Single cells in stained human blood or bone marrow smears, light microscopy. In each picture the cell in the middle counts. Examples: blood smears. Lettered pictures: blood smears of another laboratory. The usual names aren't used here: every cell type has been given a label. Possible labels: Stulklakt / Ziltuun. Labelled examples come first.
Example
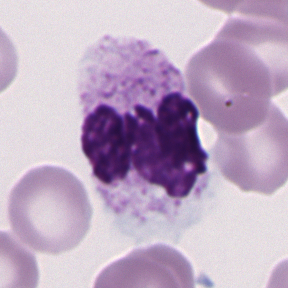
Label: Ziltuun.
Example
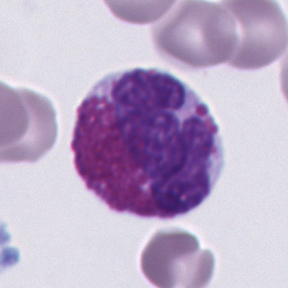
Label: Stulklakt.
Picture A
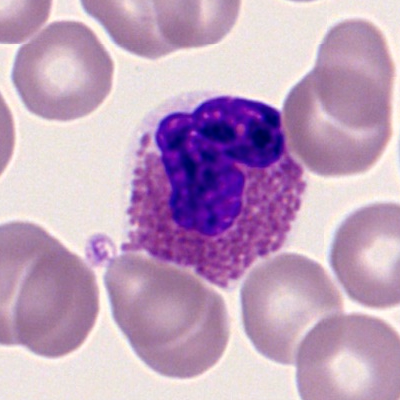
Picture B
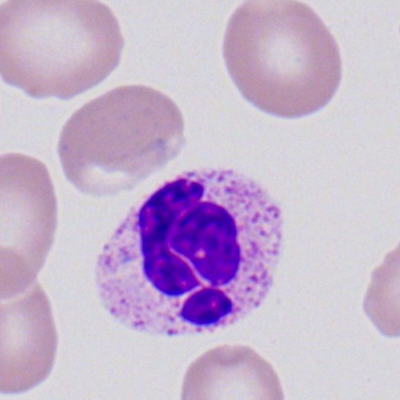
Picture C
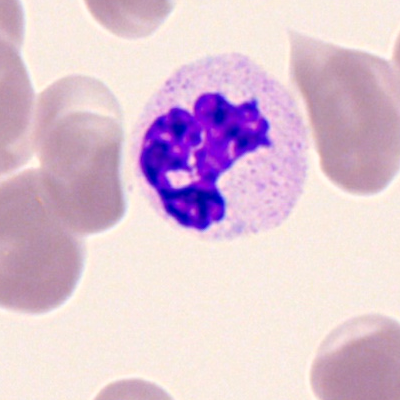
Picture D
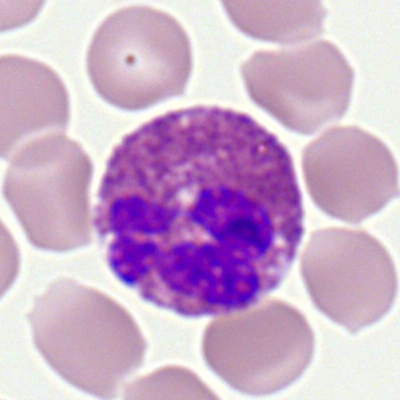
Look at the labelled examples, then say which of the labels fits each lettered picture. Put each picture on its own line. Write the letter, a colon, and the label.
A: Stulklakt.
B: Ziltuun.
C: Ziltuun.
D: Stulklakt.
